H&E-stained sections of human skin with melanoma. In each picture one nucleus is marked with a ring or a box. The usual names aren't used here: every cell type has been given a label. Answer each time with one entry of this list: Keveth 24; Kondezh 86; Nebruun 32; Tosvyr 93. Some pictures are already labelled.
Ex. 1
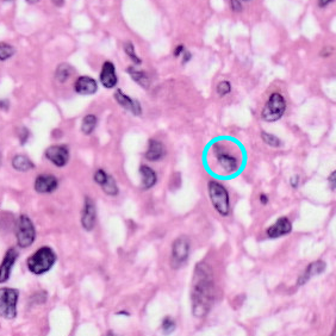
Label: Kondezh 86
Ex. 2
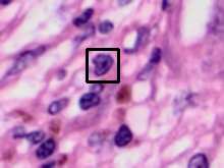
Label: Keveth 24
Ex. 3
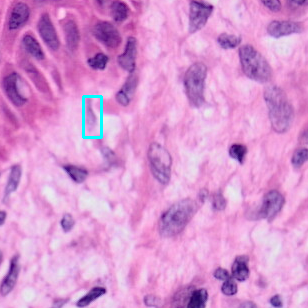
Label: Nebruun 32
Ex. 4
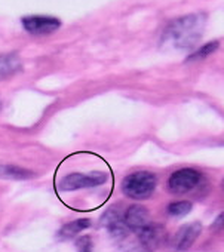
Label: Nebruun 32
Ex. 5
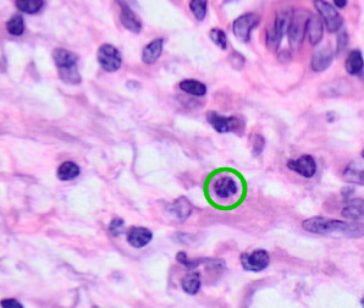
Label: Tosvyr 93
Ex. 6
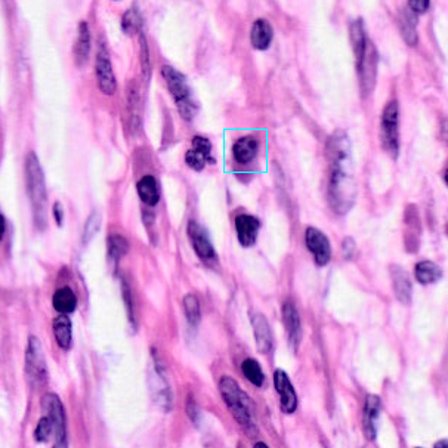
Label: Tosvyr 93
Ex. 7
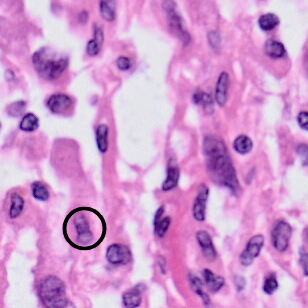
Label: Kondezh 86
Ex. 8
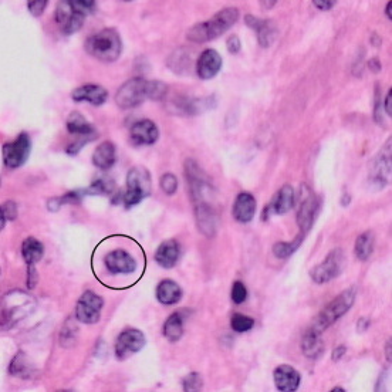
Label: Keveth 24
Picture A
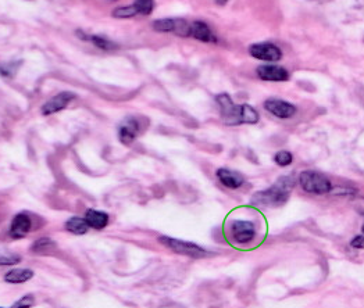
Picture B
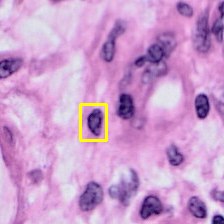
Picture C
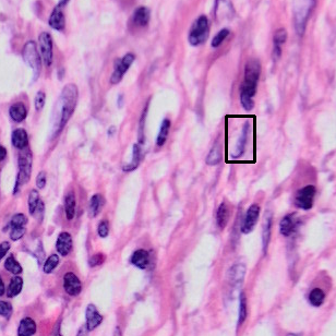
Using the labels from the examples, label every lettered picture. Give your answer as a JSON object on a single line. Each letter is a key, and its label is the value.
{"A": "Tosvyr 93", "B": "Keveth 24", "C": "Nebruun 32"}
